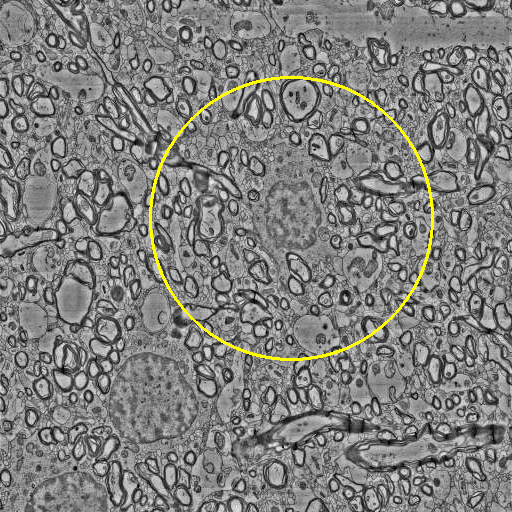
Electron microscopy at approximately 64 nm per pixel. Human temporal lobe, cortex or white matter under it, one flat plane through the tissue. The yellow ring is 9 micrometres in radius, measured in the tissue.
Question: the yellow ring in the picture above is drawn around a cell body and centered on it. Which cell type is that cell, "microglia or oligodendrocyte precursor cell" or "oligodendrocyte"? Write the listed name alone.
oligodendrocyte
